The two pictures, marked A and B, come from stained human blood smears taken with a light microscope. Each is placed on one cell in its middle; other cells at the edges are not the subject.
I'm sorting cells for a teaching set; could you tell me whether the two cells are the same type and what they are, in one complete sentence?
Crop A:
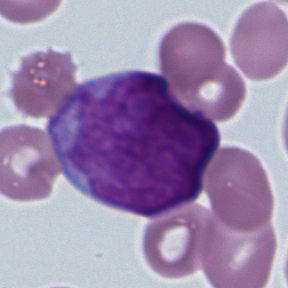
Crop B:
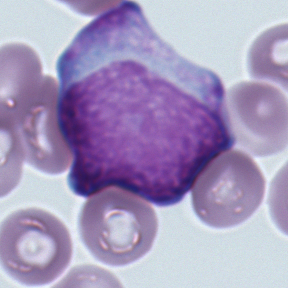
Yes, the cells at the centre of the two crops are both atypical promyelocytes.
